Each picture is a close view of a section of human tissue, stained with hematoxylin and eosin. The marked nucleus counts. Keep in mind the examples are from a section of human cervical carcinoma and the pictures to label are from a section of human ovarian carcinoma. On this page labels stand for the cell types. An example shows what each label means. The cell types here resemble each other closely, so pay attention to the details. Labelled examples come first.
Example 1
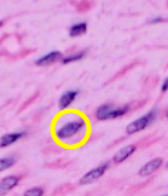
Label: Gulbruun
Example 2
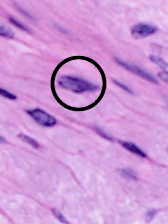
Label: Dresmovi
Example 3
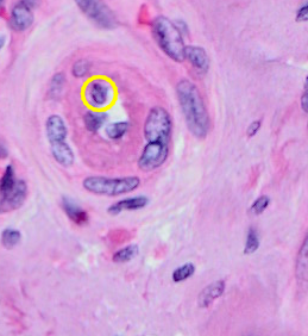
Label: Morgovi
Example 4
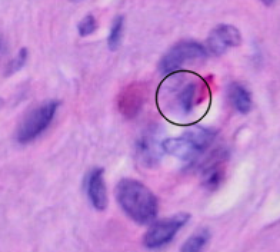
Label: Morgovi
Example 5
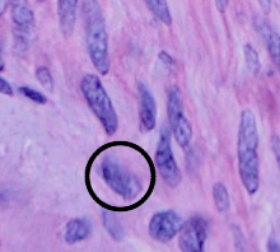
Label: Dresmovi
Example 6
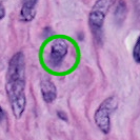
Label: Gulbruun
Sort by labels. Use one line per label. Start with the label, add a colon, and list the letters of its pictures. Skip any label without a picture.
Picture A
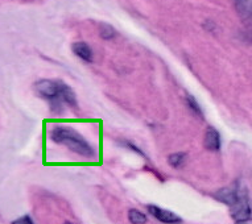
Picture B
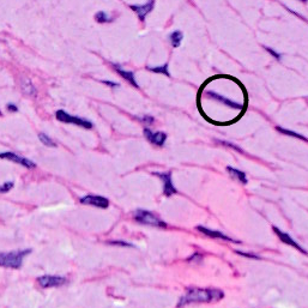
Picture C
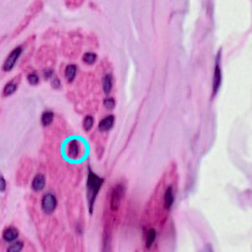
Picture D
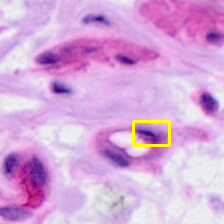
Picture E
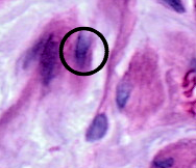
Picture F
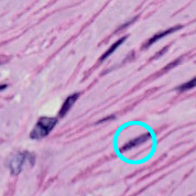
Gulbruun: C, E
Dresmovi: B, F
Morgovi: A, D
